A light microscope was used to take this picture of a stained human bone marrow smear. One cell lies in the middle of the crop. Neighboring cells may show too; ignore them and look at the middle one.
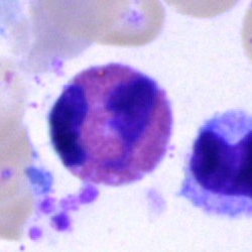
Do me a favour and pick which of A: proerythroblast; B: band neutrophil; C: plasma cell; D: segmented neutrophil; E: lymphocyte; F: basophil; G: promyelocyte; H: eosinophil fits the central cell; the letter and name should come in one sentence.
The correct identification, given in option H, is that the central cell is an eosinophil.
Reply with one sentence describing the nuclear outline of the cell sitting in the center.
The nucleus has been partitioned into two or more lobes.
